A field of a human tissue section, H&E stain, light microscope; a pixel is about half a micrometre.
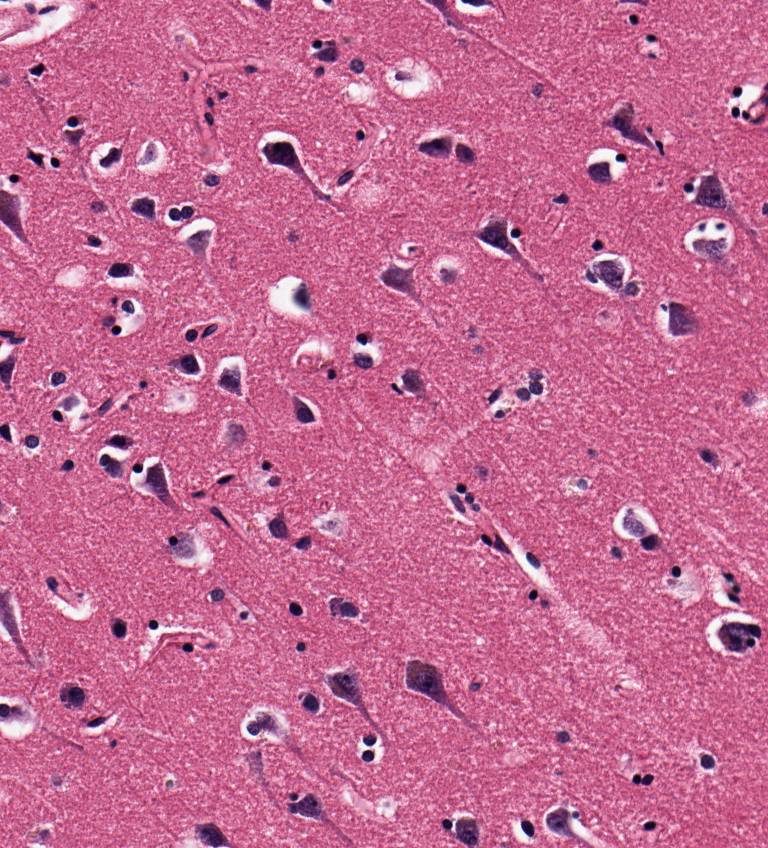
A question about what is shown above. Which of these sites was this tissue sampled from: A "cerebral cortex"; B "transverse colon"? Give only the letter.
A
